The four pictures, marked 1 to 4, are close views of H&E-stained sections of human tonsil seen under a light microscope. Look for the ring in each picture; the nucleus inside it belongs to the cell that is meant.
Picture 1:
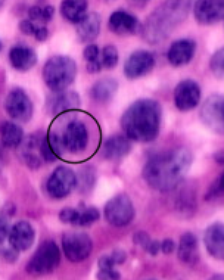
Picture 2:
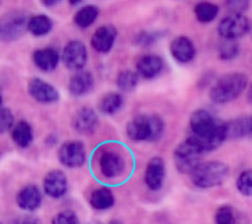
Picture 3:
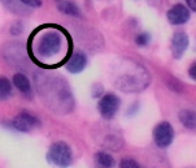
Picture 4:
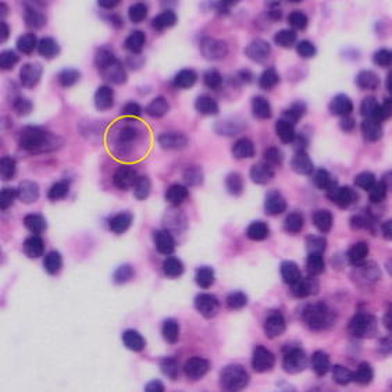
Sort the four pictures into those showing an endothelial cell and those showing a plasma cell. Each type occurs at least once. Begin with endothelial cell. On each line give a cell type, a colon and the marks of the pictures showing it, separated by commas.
endothelial cell: 3, 4
plasma cell: 1, 2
